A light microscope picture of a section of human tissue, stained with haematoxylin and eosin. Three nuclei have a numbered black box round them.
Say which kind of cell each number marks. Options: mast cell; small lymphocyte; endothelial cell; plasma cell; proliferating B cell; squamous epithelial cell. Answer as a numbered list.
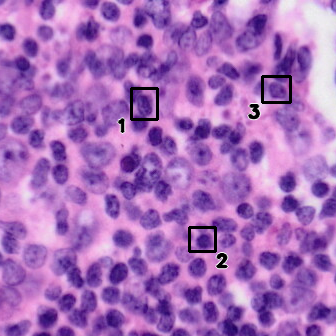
1. proliferating B cell
2. small lymphocyte
3. proliferating B cell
